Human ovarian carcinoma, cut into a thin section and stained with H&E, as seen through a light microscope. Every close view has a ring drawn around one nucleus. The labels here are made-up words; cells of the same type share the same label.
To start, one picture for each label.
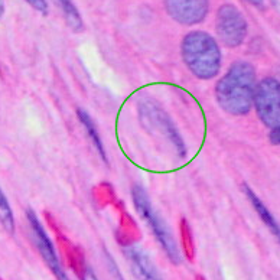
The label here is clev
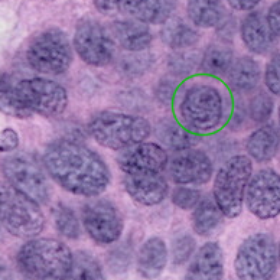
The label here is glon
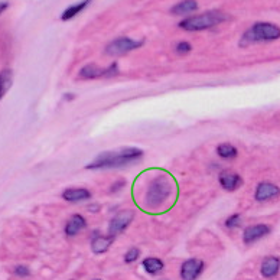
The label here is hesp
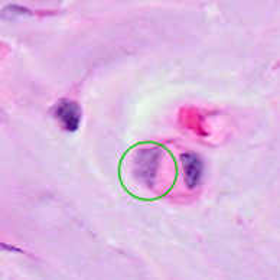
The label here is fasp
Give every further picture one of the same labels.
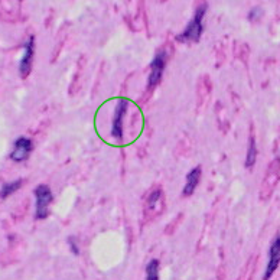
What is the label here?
clev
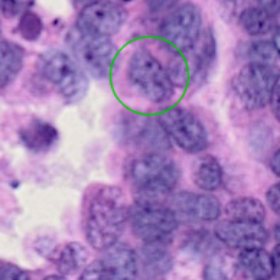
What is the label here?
glon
